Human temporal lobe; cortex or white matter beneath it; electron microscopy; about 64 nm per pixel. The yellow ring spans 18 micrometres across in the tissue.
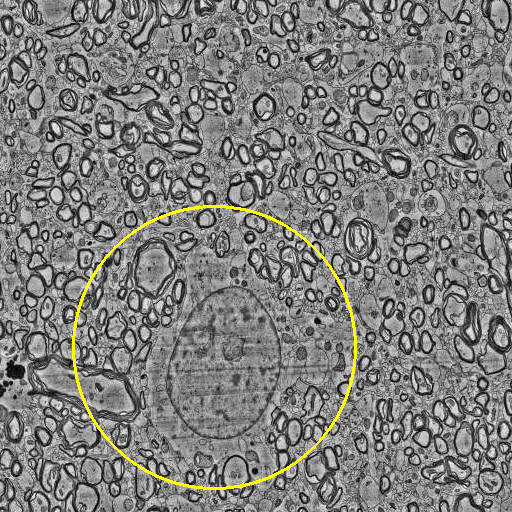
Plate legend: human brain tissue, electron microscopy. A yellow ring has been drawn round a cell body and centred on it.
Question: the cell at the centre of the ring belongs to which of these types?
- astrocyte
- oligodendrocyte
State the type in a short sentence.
The cell in the middle of the ring is an astrocyte.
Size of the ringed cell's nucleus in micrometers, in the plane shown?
The ringed cell's nucleus measures approximately 10 by 7 micrometres in this plane.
